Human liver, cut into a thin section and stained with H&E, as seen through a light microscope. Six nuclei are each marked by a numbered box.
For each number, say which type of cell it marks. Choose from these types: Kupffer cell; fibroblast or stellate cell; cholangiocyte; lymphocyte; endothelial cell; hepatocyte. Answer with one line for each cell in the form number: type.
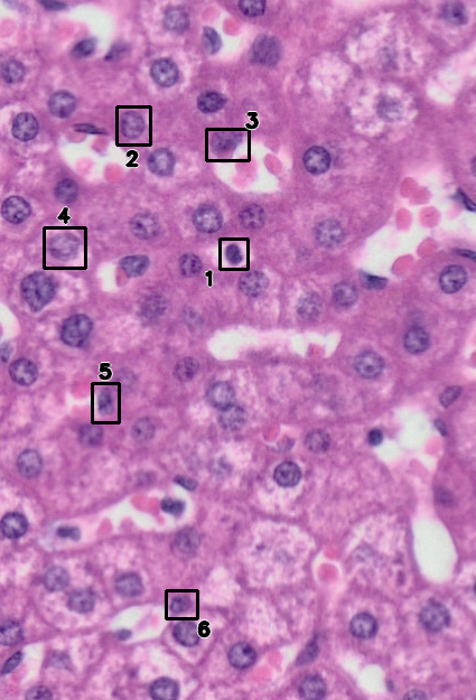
1: lymphocyte
2: hepatocyte
3: endothelial cell
4: hepatocyte
5: endothelial cell
6: fibroblast or stellate cell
